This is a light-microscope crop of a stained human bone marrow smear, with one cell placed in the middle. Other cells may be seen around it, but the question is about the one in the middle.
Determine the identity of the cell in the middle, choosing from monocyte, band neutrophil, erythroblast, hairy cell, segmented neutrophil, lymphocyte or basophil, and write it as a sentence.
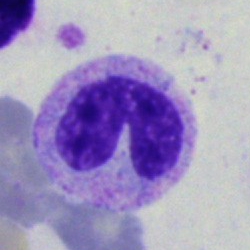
At the crop's centre, the cell is a band neutrophil.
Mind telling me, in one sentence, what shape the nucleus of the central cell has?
Its nucleus is compact and single, with a round, oval or kidney-shaped form.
